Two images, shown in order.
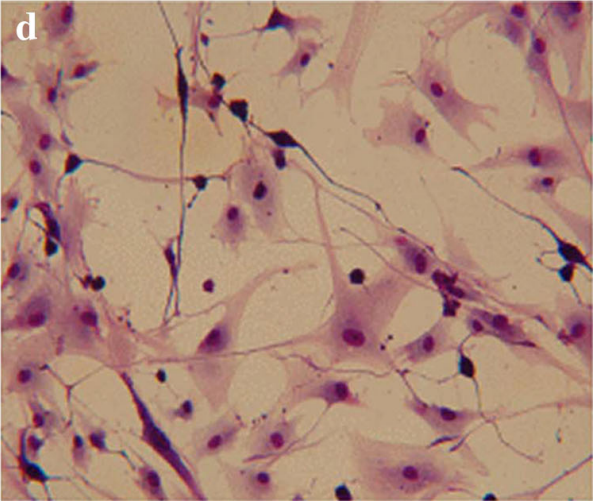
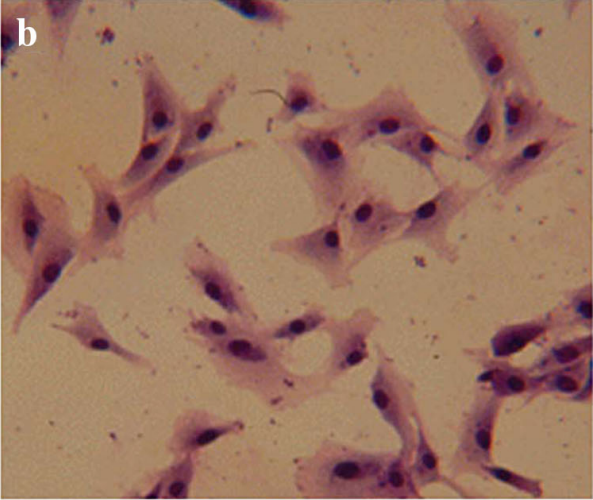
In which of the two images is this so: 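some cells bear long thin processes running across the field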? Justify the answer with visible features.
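The first image. First image: many small dark cell bodies extend long thin fibres that cross the field. Second image: cells are flat and polygonal to triangular with short broad extensions and no long thin fibres.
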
